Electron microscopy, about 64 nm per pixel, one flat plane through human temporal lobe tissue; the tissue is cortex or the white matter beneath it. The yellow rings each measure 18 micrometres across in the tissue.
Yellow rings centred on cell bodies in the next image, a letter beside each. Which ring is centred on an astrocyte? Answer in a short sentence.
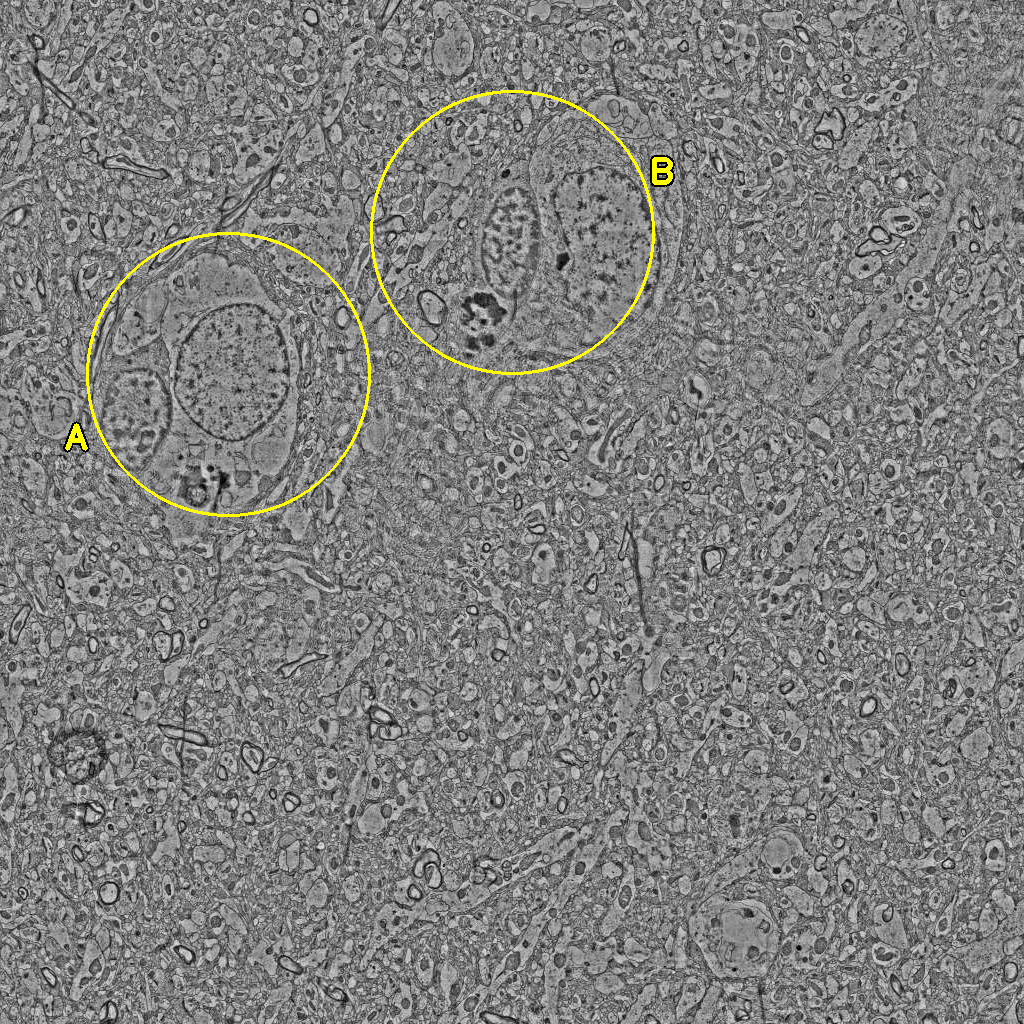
Ring A is centred on it.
